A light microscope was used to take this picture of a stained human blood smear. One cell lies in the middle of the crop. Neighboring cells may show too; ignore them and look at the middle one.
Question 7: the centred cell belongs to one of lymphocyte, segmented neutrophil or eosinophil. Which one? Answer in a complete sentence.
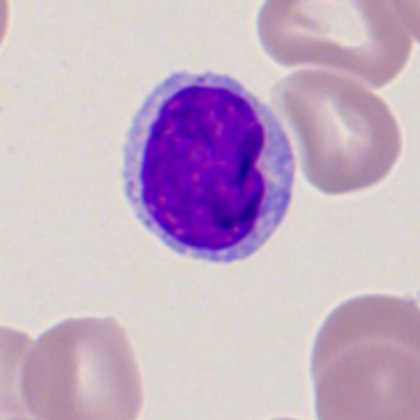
Of the cells in this crop, the central one is a lymphocyte.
